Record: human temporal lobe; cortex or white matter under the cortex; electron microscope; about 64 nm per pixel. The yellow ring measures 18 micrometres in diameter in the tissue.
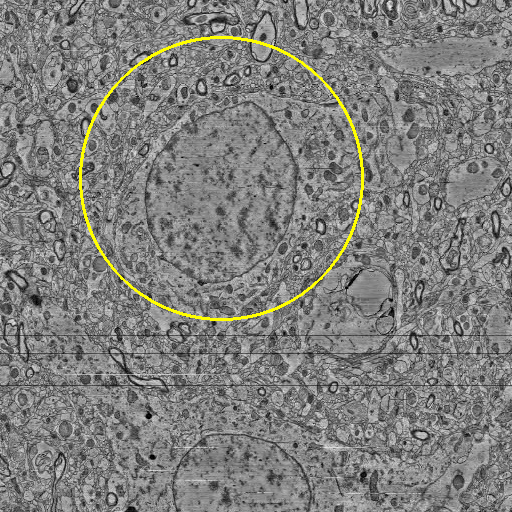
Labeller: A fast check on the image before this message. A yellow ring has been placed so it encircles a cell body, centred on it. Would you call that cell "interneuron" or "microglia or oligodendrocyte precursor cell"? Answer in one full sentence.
In this image, an interneuron is the cell on which the yellow ring is centred.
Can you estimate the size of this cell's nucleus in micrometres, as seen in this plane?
About 12 by 10 micrometers for the nucleus, in this plane.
